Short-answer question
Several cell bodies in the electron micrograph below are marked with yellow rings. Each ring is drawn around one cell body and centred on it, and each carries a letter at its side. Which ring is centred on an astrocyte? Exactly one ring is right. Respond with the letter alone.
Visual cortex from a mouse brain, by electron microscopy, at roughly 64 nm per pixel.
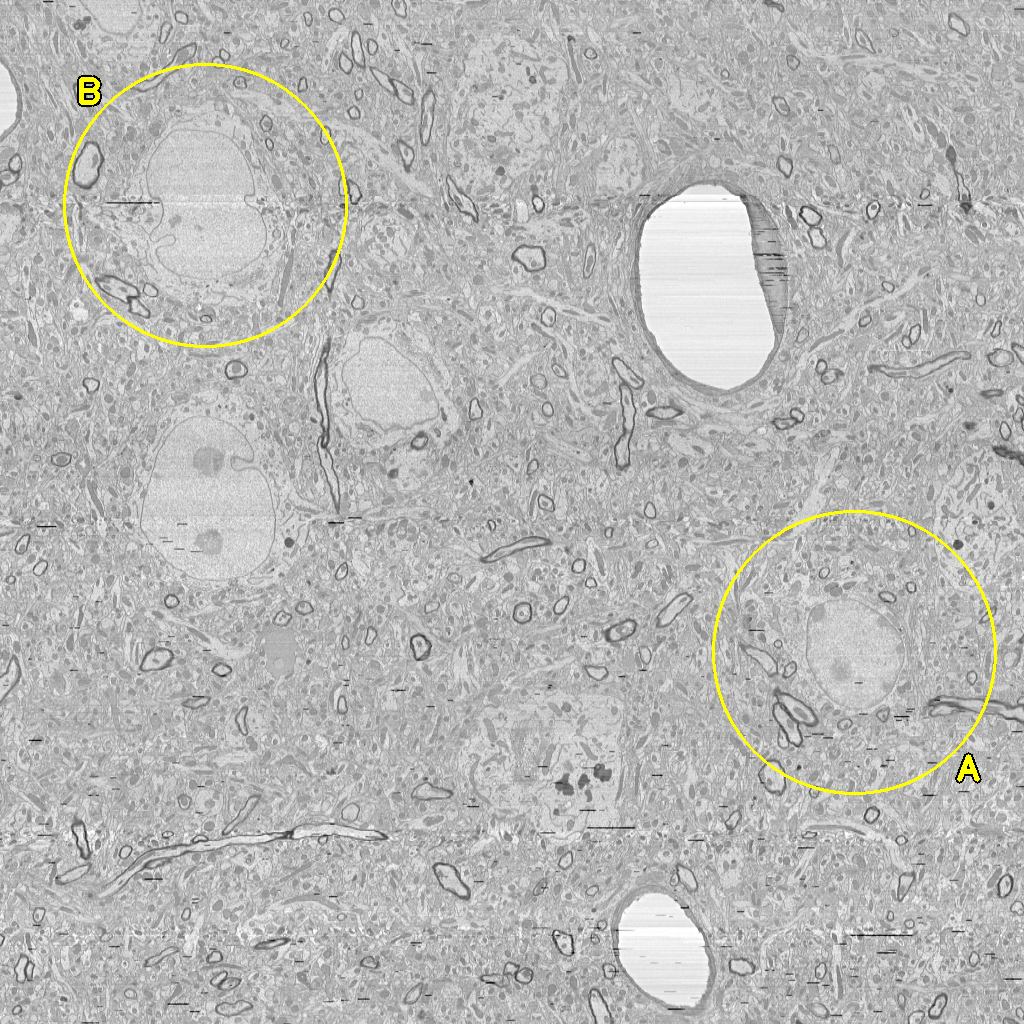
A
